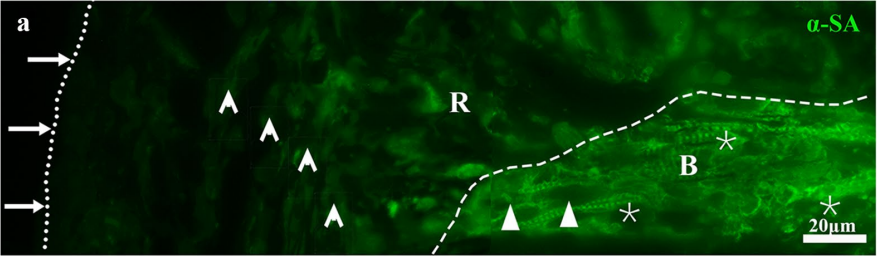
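This section of heart muscle shows cardiac myocytes stained green. In the lower right the fibres are bright, elongated and marked by regular transverse striations, the look of mature cardiac myocytes. In the middle and left the green is fainter and patchy, with less ordered fibres, and at the far left edge the tissue ends at its outer surface.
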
